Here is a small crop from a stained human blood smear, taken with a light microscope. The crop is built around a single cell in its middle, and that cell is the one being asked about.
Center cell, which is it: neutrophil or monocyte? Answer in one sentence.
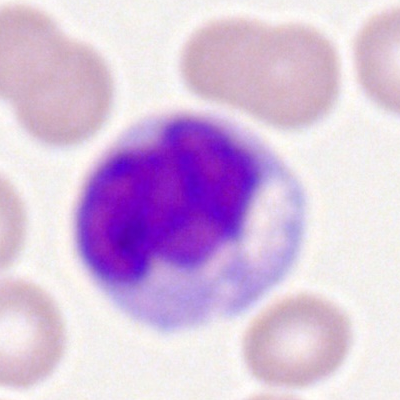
Classified as a monocyte is the cell in the middle of this crop.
